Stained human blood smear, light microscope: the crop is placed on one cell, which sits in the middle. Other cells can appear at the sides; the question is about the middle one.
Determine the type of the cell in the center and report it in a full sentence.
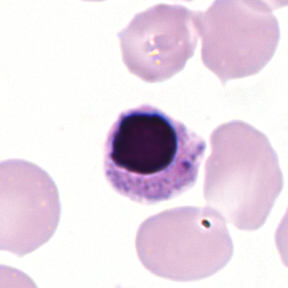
Centred in the crop is a normoblast.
